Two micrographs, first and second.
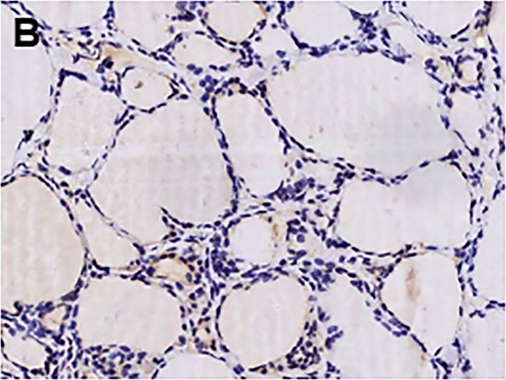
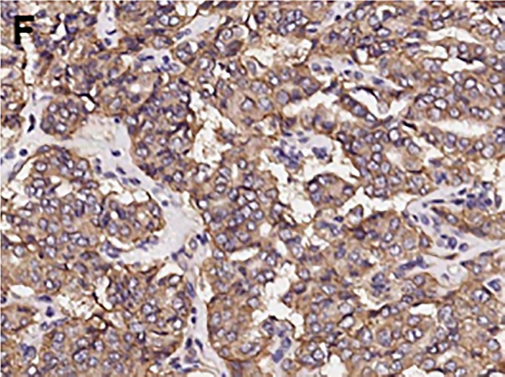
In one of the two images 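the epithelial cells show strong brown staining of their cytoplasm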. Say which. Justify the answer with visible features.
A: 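The second image. Second image: sheets of cells with intense brown cytoplasm around blue nuclei. First image: follicle-lining cells mostly blue with little or no brown.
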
